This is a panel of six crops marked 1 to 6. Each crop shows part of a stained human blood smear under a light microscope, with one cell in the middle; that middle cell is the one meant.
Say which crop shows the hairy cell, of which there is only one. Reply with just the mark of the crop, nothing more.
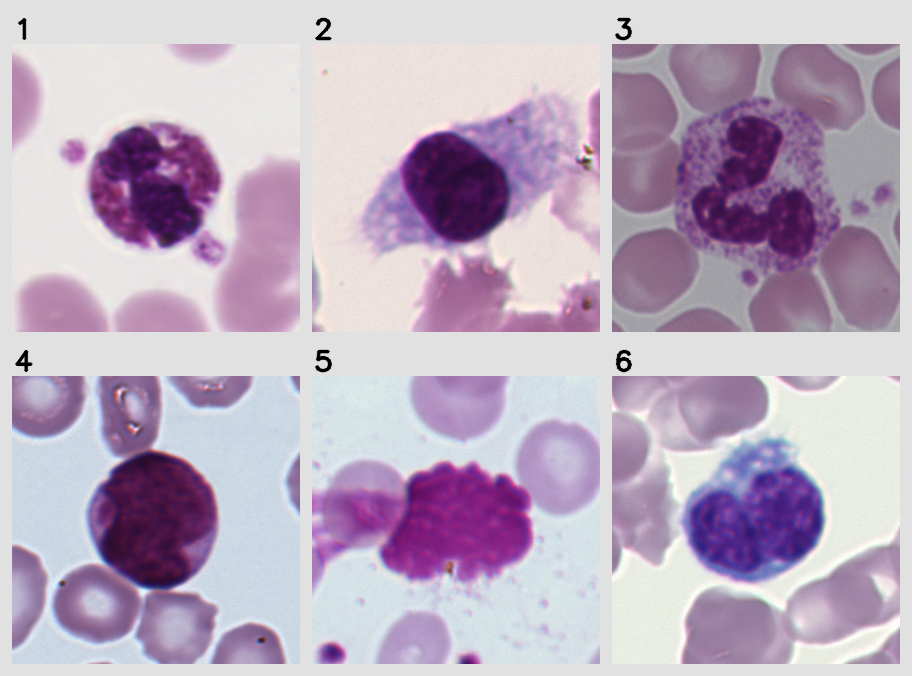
2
